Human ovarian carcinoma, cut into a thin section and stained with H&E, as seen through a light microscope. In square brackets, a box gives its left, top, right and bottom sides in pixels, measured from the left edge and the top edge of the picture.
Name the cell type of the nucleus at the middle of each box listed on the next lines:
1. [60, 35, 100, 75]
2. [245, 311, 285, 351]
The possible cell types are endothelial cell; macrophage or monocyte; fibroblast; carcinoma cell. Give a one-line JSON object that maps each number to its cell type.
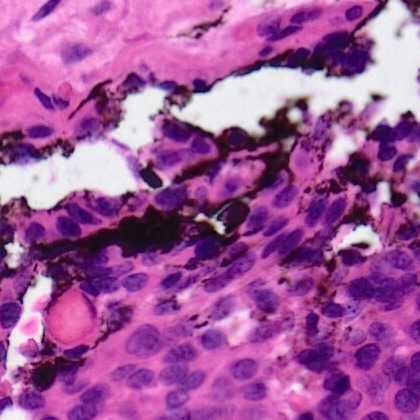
{"1": "fibroblast", "2": "carcinoma cell"}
